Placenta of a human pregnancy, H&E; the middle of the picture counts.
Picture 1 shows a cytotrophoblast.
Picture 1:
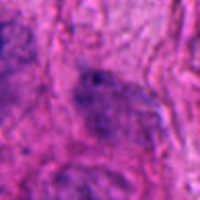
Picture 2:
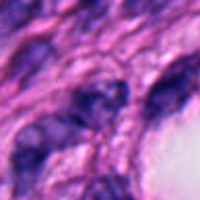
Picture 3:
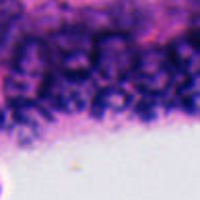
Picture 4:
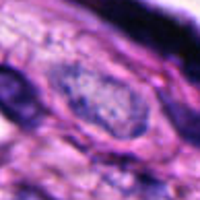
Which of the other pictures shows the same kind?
Picture 4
